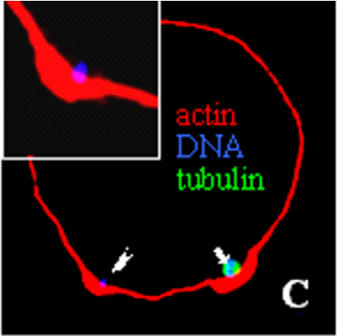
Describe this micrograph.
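An oocyte is outlined by a red cortical rim that thickens into two bulging caps on the lower surface. One cap holds blue chromatin with a green area around it, and the other holds a small blue chromatin spot, shown enlarged in the inset.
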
